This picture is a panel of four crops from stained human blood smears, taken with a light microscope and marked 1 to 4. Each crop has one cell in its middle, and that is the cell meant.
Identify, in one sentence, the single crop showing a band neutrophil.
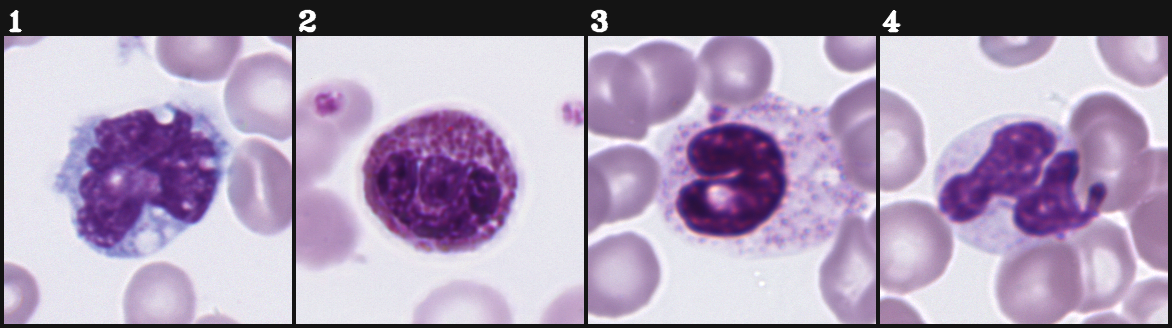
It is in crop 3 that a band neutrophil is shown.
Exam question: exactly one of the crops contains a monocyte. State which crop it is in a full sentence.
Crop 1, and no other, shows a monocyte.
